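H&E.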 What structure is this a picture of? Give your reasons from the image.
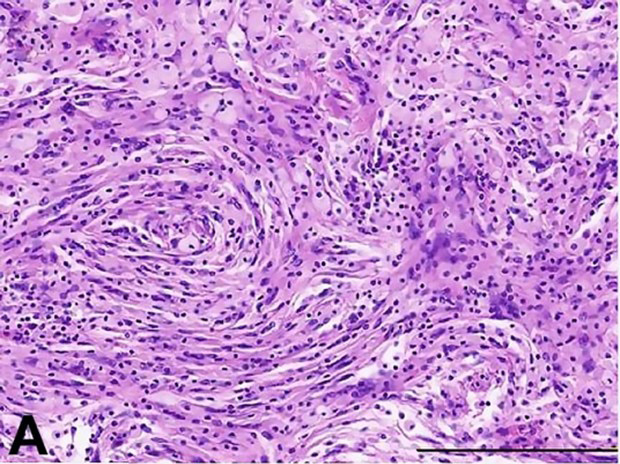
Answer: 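Whorls. Spindled and oval cells are arranged in concentric swirling layers.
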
